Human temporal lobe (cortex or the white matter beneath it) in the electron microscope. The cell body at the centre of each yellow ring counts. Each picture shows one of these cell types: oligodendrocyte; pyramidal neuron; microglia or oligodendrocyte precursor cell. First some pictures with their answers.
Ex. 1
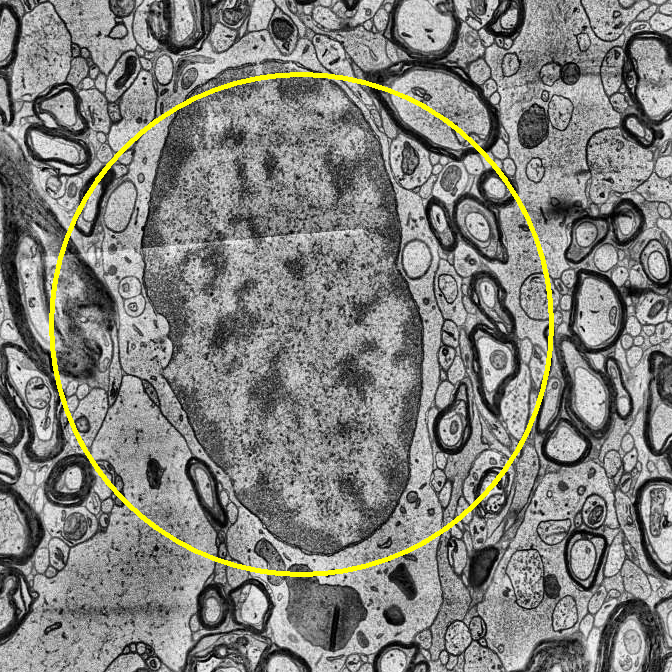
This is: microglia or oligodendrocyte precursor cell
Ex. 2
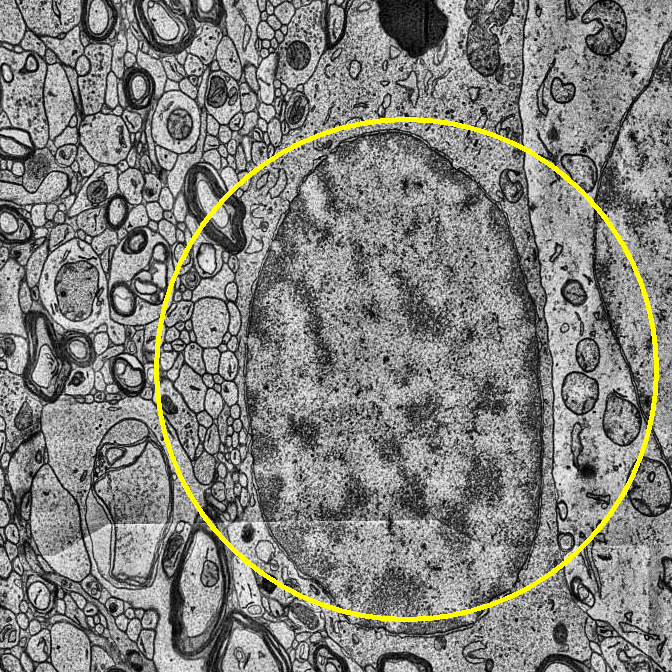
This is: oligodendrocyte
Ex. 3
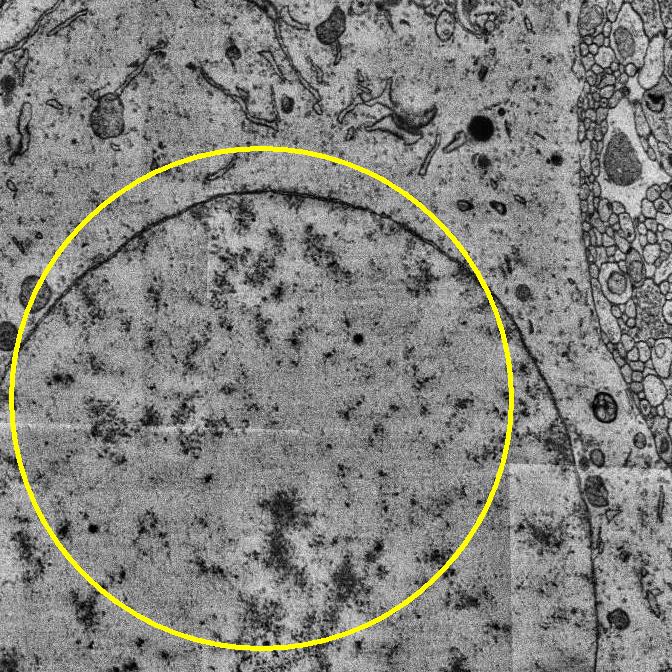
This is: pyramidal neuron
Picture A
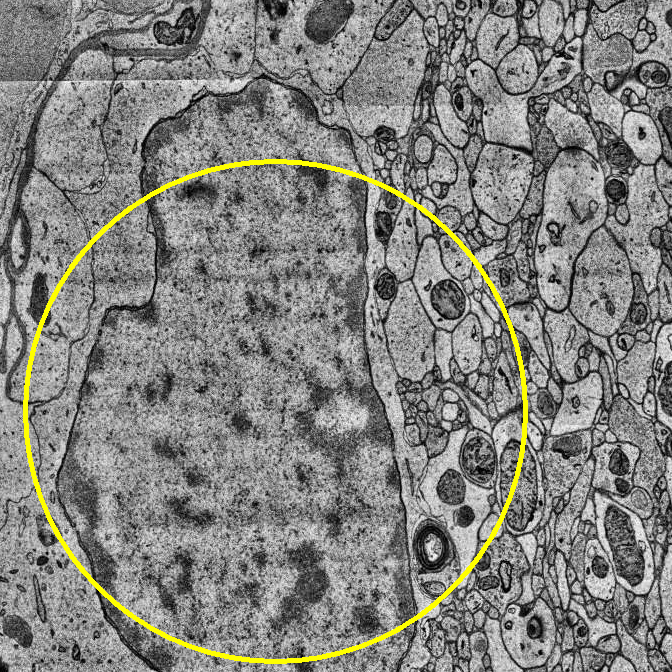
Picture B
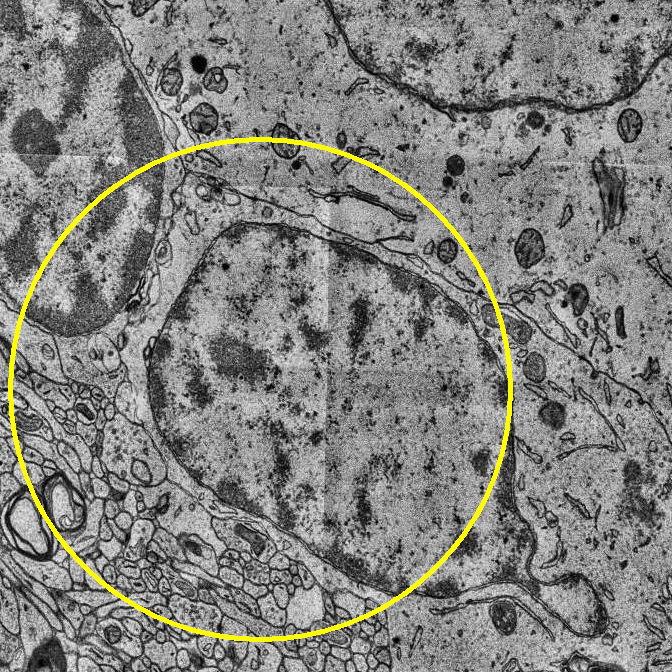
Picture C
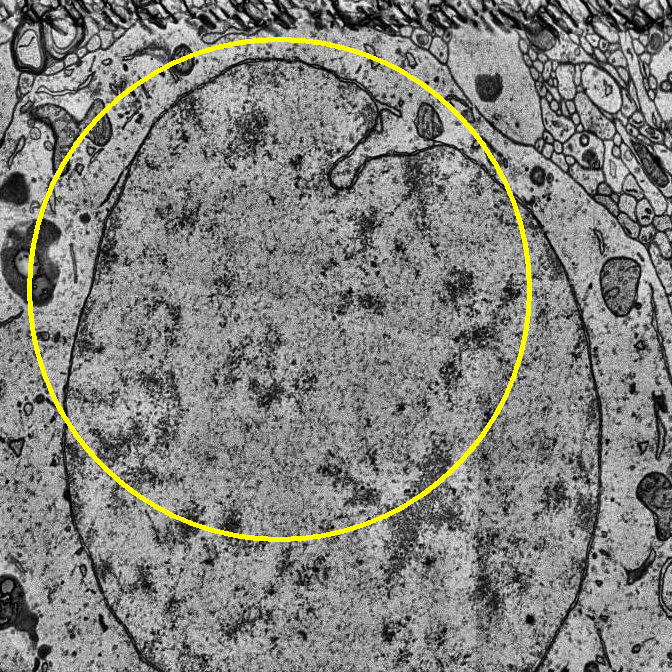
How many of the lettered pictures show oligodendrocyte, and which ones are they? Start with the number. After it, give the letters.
0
